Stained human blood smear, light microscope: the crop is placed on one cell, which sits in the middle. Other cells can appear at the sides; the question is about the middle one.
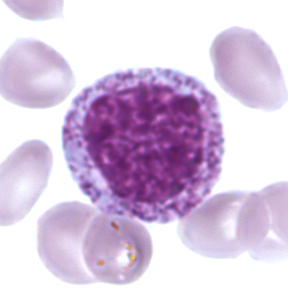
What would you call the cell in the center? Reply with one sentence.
Regarding the central cell, it is a myelocyte.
